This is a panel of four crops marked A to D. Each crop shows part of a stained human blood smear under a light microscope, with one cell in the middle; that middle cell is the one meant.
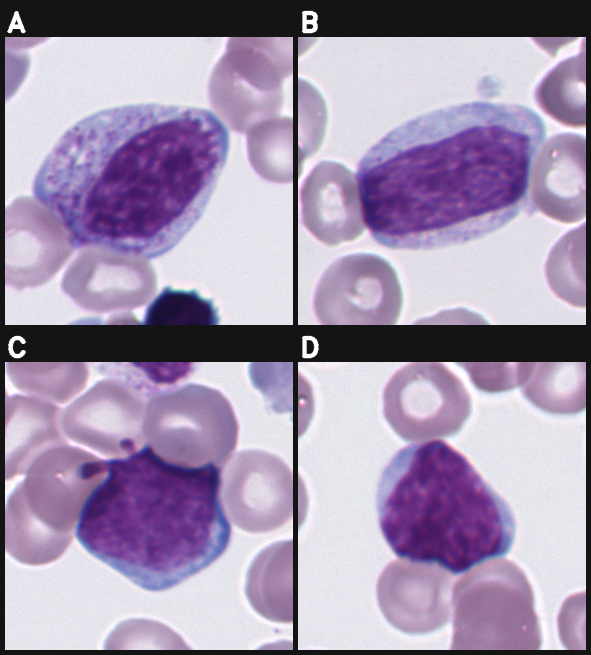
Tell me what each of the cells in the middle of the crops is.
A: myelocyte
B: myelocyte
C: myeloblast
D: typical lymphocyte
